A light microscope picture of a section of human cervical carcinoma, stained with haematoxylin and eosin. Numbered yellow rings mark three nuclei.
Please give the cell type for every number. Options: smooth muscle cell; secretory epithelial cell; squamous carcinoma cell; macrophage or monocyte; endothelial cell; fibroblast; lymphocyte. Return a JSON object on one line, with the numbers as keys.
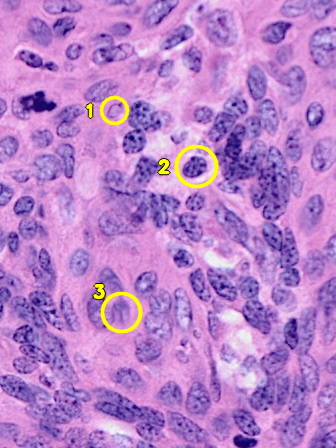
{"1": "squamous carcinoma cell", "2": "lymphocyte", "3": "squamous carcinoma cell"}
